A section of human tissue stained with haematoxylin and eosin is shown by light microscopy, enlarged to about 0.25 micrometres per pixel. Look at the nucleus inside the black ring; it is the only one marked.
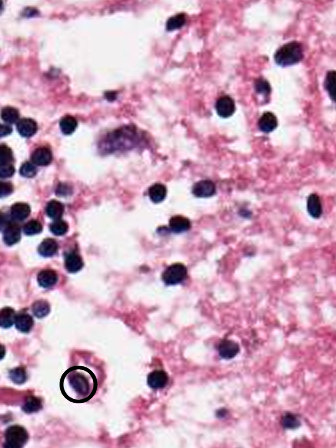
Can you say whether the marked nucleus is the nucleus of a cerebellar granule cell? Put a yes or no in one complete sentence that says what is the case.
No, the marked nucleus is that of a supporting cell instead of a cerebellar granule cell.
